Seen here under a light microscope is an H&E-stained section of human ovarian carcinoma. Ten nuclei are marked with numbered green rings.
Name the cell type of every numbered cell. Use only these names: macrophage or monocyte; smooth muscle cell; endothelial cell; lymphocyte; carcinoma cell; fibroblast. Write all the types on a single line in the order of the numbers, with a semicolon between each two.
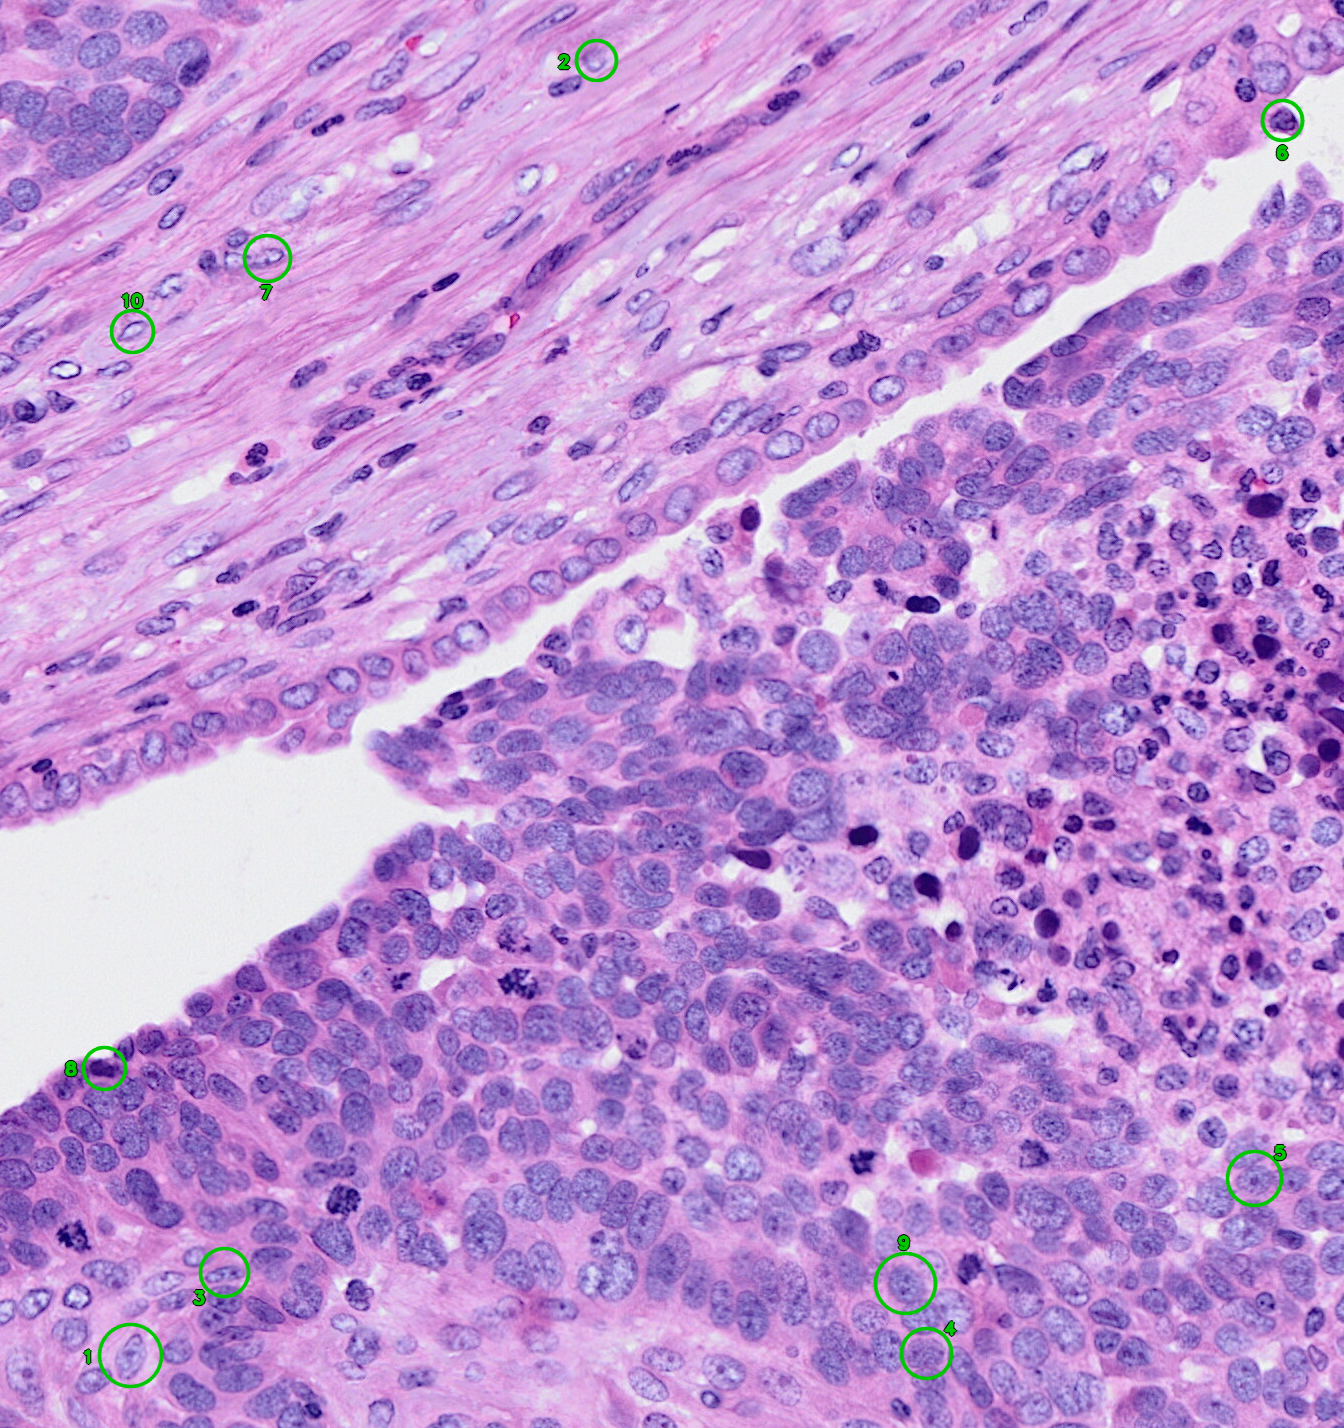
fibroblast; fibroblast; fibroblast; carcinoma cell; carcinoma cell; macrophage or monocyte; fibroblast; carcinoma cell; carcinoma cell; fibroblast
